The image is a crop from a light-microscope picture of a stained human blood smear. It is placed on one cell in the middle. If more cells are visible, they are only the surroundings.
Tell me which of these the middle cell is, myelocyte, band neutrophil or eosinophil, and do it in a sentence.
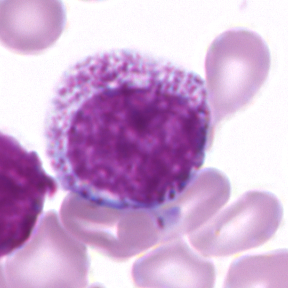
Where the crop is centred, there is a myelocyte.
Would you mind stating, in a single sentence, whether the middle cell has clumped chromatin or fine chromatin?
Answer: the chromatin is fine and has no coarse clumps.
